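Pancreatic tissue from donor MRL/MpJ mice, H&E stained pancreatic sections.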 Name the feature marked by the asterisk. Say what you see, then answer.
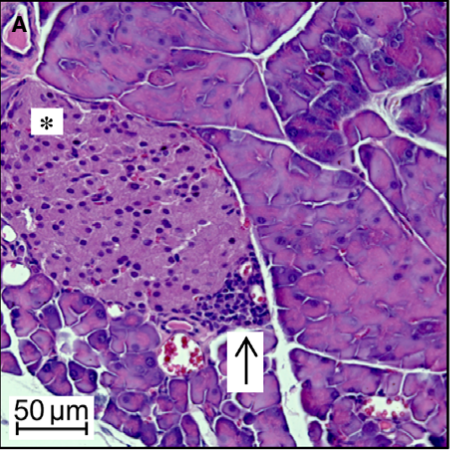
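A rounded cluster of paler pink cells with small round nuclei. The cluster lies within darker purple acinar tissue.
Islets of Langerhans.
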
